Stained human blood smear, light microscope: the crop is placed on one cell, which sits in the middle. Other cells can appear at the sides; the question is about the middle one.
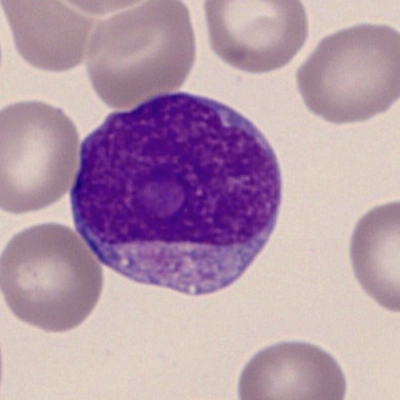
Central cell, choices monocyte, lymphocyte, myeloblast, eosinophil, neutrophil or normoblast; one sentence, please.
Looking at the middle of the crop, the cell there is a myeloblast.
